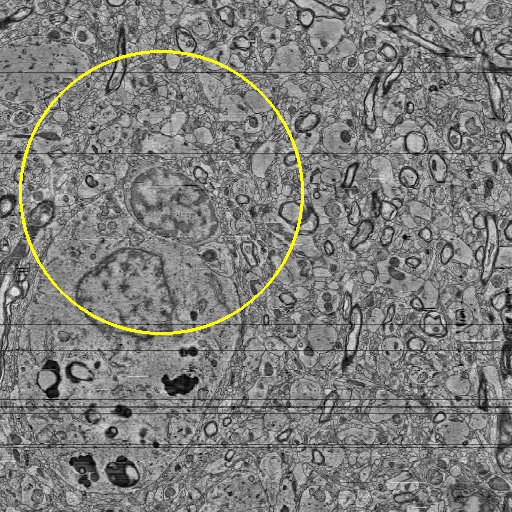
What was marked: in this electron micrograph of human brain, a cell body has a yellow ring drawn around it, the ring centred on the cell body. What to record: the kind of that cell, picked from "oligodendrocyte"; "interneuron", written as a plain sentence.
The centred cell is an oligodendrocyte.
